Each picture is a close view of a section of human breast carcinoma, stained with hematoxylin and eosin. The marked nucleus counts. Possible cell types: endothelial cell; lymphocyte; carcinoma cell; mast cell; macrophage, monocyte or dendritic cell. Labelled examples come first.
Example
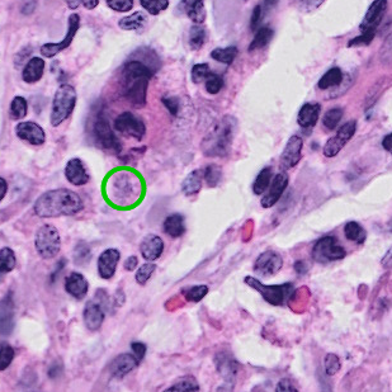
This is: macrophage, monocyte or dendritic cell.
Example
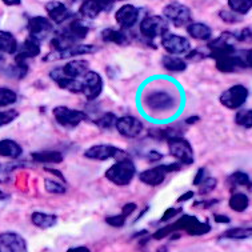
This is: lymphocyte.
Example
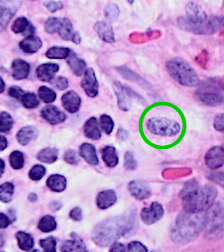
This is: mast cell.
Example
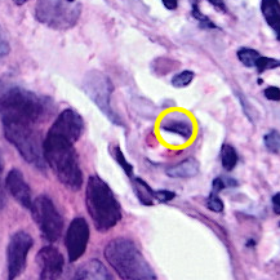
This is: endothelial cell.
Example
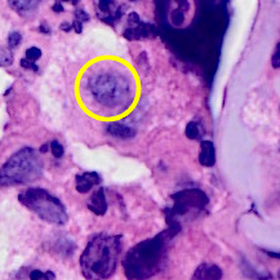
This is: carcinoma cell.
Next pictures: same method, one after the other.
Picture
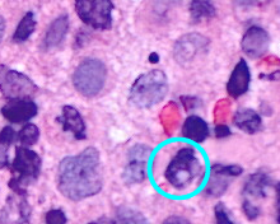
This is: carcinoma cell.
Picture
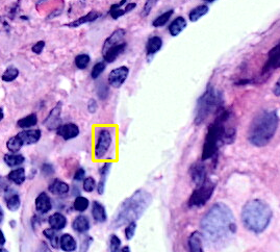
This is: mast cell.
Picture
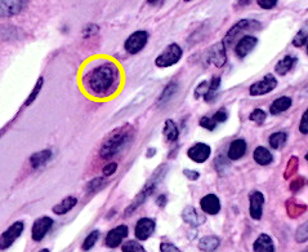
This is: mast cell.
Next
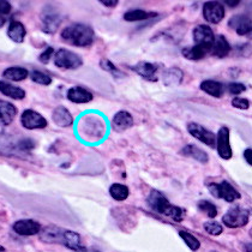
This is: macrophage, monocyte or dendritic cell.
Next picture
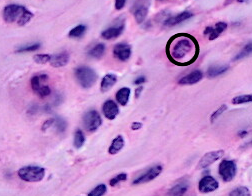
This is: mast cell.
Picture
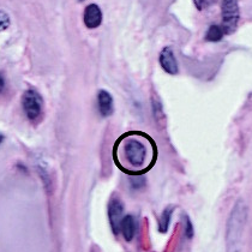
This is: mast cell.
